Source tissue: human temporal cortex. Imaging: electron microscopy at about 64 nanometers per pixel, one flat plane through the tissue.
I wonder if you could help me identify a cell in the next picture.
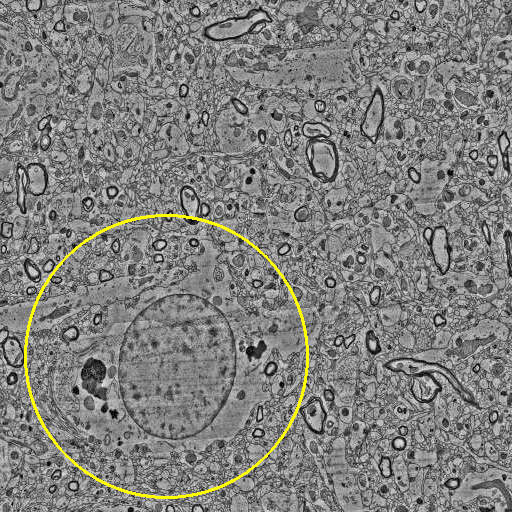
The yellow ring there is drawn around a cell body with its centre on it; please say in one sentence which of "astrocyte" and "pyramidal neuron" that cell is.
The yellow ring is centred on an astrocyte.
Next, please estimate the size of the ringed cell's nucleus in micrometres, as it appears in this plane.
In this plane, the nucleus of the cell at the centre of the ring measures about 9 by 7 micrometres.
